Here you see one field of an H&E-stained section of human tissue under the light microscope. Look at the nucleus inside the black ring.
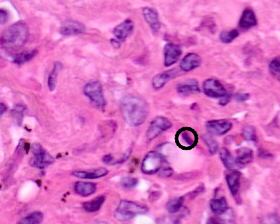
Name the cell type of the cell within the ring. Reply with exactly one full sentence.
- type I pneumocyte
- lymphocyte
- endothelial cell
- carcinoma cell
Recorded by type, the cell within the ring is an endothelial cell.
